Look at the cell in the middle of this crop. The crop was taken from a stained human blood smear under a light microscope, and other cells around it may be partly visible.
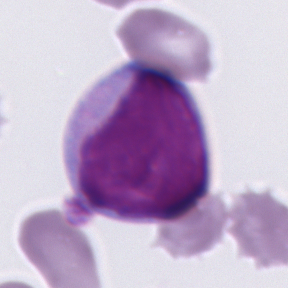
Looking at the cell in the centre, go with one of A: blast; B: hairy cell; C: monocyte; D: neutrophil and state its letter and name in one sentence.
In the middle of the crop is a blast; option A is therefore correct.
